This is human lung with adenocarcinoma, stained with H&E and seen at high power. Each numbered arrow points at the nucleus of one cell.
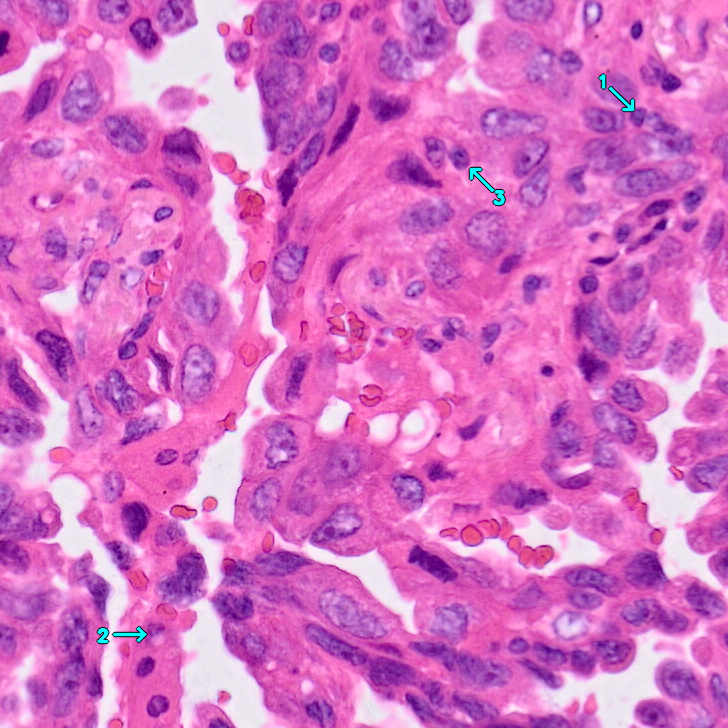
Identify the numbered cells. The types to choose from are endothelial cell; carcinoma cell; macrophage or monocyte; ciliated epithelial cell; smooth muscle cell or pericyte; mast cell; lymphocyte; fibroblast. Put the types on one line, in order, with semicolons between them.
lymphocyte; macrophage or monocyte; lymphocyte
